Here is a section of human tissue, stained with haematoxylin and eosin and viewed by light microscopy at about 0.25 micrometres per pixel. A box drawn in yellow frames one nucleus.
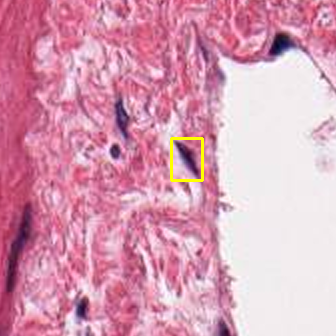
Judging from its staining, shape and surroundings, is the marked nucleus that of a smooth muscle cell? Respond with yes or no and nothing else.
no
